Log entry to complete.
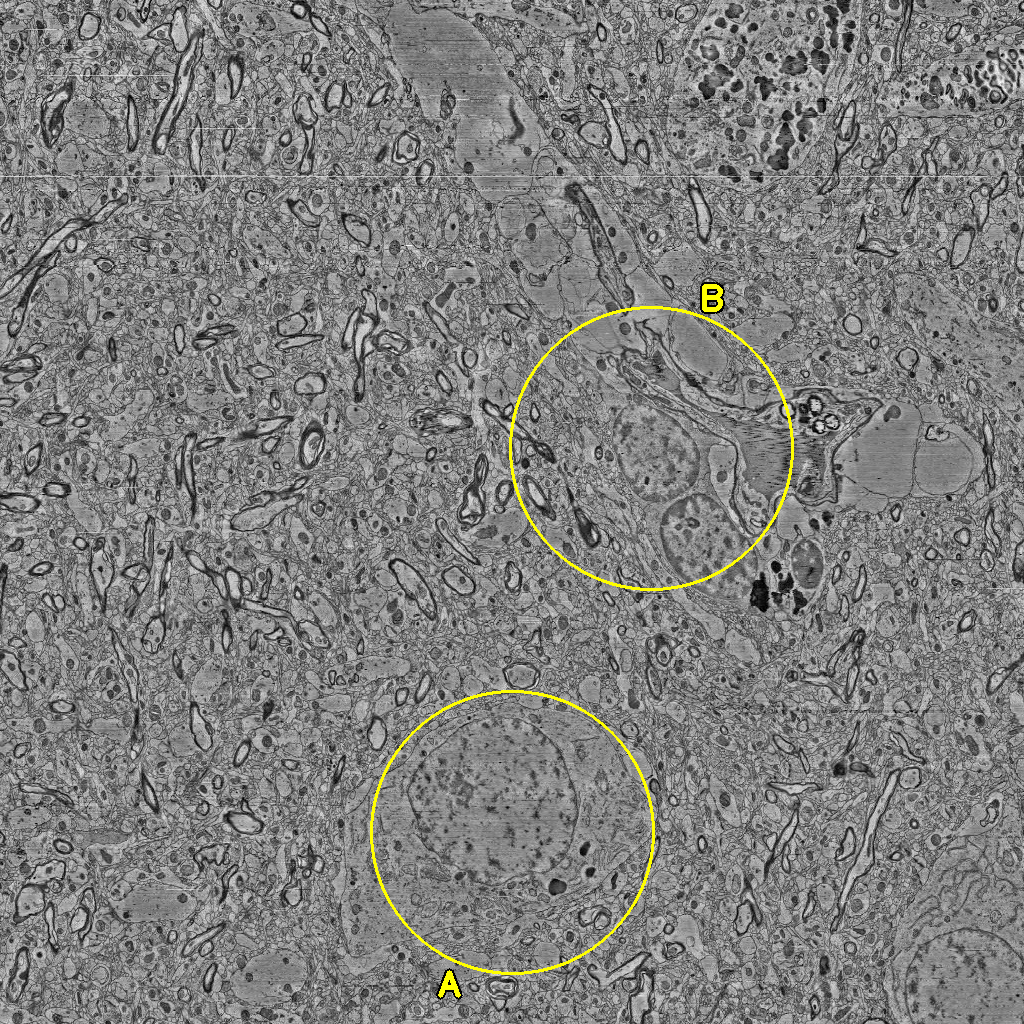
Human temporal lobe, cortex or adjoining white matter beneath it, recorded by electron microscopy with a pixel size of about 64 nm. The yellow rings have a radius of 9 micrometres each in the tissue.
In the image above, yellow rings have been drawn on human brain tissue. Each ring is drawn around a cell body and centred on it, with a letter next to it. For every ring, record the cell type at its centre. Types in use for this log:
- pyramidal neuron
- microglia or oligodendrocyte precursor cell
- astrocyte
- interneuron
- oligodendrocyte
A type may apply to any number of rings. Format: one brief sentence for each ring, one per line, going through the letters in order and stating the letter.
In ring A, the centred cell is an interneuron.
In ring B, the centred cell is an oligodendrocyte.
